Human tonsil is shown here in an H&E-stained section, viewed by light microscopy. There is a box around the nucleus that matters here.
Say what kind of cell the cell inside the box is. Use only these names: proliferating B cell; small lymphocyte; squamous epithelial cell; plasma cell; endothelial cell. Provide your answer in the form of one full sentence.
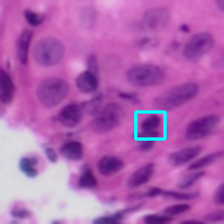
The expected answer is simply that the cell inside the box is a squamous epithelial cell.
